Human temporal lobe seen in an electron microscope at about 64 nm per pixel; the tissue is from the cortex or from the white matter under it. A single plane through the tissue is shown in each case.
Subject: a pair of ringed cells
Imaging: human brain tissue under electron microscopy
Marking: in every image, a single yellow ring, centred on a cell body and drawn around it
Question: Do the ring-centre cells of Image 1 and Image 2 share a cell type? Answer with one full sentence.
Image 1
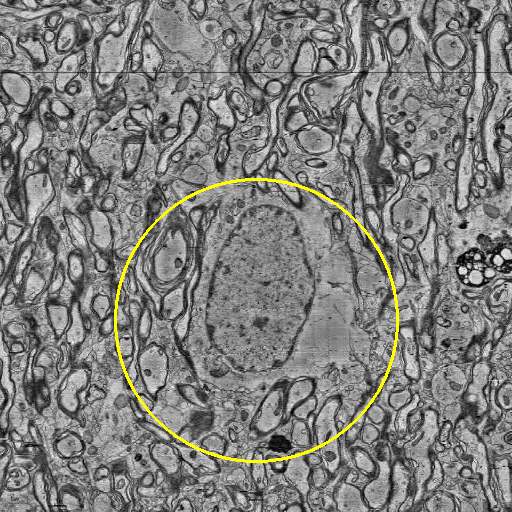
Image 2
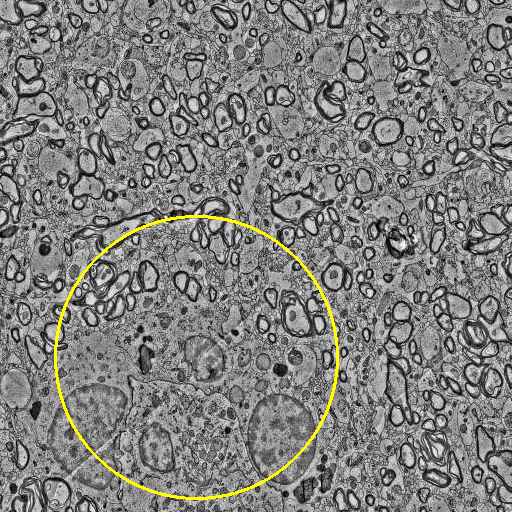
No, at the ring centres in the images sit cells of two separate types.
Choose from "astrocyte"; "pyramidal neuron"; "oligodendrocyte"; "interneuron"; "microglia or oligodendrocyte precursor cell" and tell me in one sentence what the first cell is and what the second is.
What the first ring is centred on is an astrocyte; what the second ring is centred on is an oligodendrocyte.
